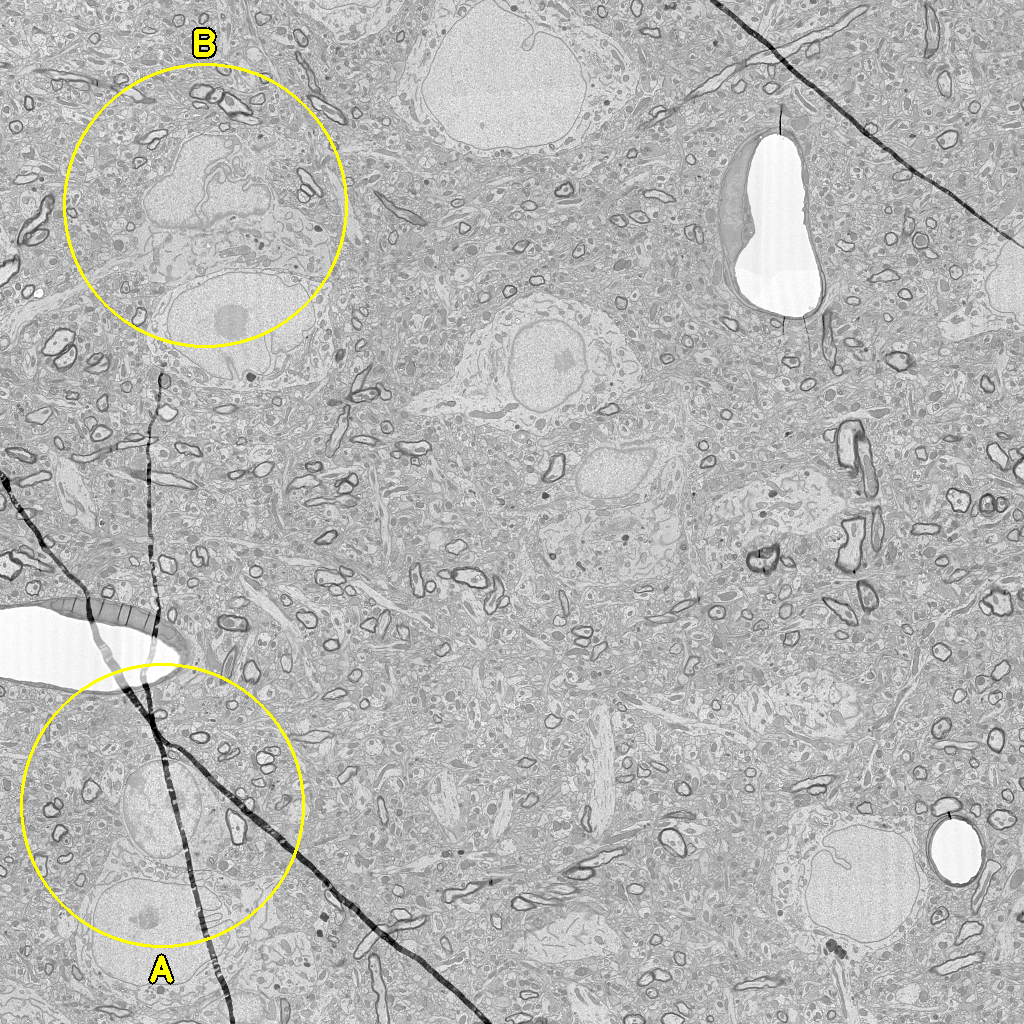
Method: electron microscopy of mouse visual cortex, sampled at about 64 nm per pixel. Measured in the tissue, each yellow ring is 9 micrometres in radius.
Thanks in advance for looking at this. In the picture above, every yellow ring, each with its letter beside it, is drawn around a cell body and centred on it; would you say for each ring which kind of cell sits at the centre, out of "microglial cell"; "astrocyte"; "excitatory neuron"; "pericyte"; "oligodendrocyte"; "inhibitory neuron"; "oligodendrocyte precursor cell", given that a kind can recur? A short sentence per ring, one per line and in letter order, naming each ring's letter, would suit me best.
The cell body in ring A belongs to an oligodendrocyte.
The cell body in ring B belongs to an oligodendrocyte precursor cell.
